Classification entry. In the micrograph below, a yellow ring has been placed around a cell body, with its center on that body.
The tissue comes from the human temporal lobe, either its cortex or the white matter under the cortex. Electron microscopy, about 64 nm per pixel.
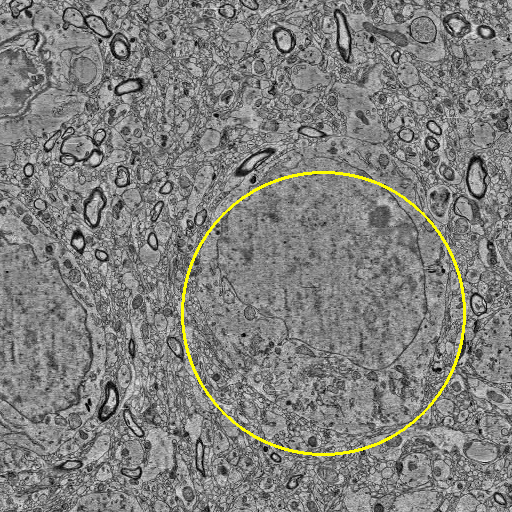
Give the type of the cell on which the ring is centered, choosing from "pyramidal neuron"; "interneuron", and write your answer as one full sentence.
The cell body at the center of the yellow ring belongs to a pyramidal neuron.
